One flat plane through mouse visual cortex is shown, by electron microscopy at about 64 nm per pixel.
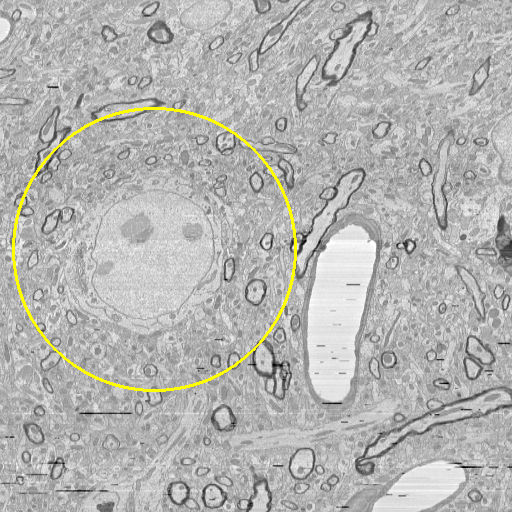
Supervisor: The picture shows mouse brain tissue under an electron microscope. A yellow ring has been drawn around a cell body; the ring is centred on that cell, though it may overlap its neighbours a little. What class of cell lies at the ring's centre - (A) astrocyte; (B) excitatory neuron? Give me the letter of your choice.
B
